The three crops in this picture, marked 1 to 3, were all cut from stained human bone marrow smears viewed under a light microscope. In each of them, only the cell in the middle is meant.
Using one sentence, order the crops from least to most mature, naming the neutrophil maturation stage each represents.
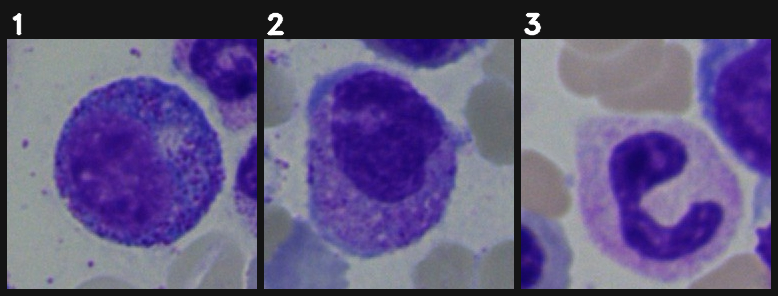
Maturity increases along the sequence crop 1 (a promyelocyte), crop 2 (a myelocyte) and crop 3 (a segmented neutrophil).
